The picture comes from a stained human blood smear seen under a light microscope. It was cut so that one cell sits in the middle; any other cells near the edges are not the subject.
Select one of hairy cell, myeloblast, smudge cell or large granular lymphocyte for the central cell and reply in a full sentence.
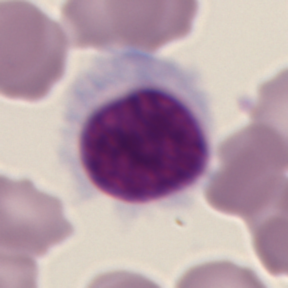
Centred in the crop is a hairy cell.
